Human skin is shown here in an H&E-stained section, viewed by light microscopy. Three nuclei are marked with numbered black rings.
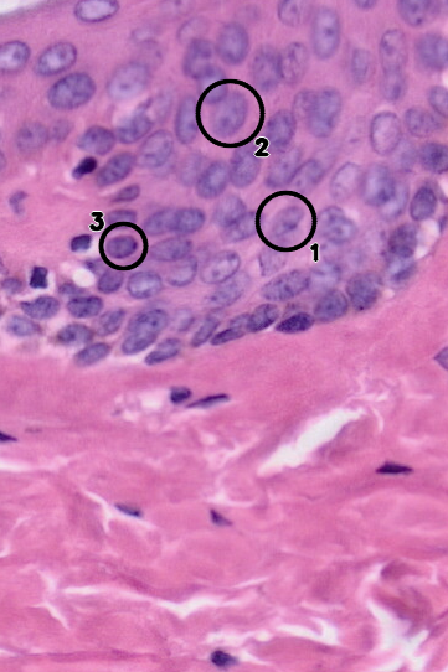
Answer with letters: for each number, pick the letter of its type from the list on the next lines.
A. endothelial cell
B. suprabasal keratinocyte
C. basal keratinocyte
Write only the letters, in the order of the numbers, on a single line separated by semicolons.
B; B; C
